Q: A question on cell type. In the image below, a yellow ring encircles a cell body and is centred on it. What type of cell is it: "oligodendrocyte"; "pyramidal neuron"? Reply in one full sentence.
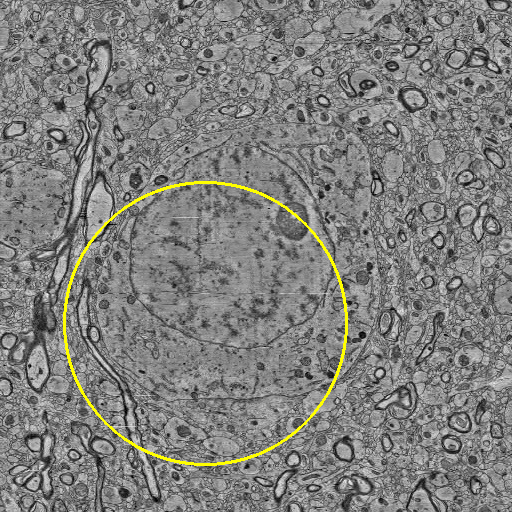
It is a pyramidal neuron whose cell body sits at the centre of the yellow ring in the image.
